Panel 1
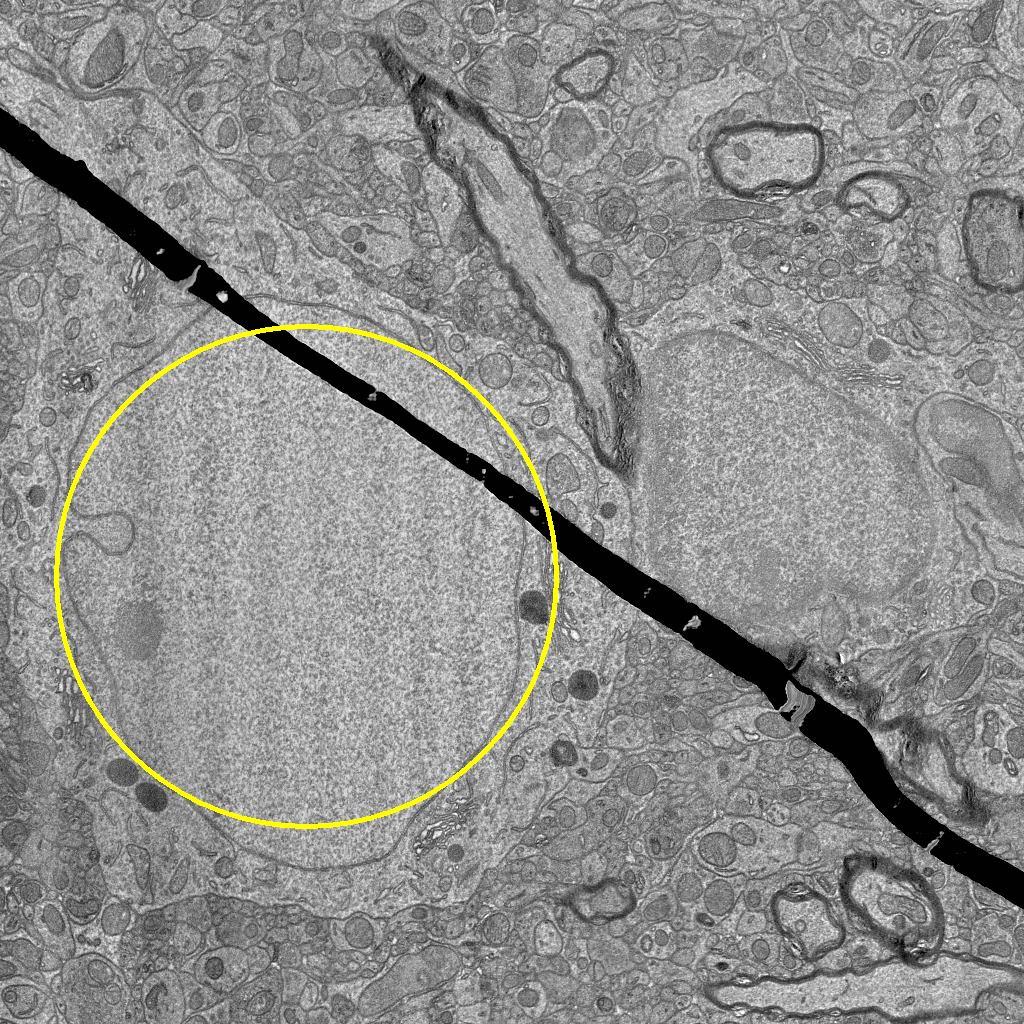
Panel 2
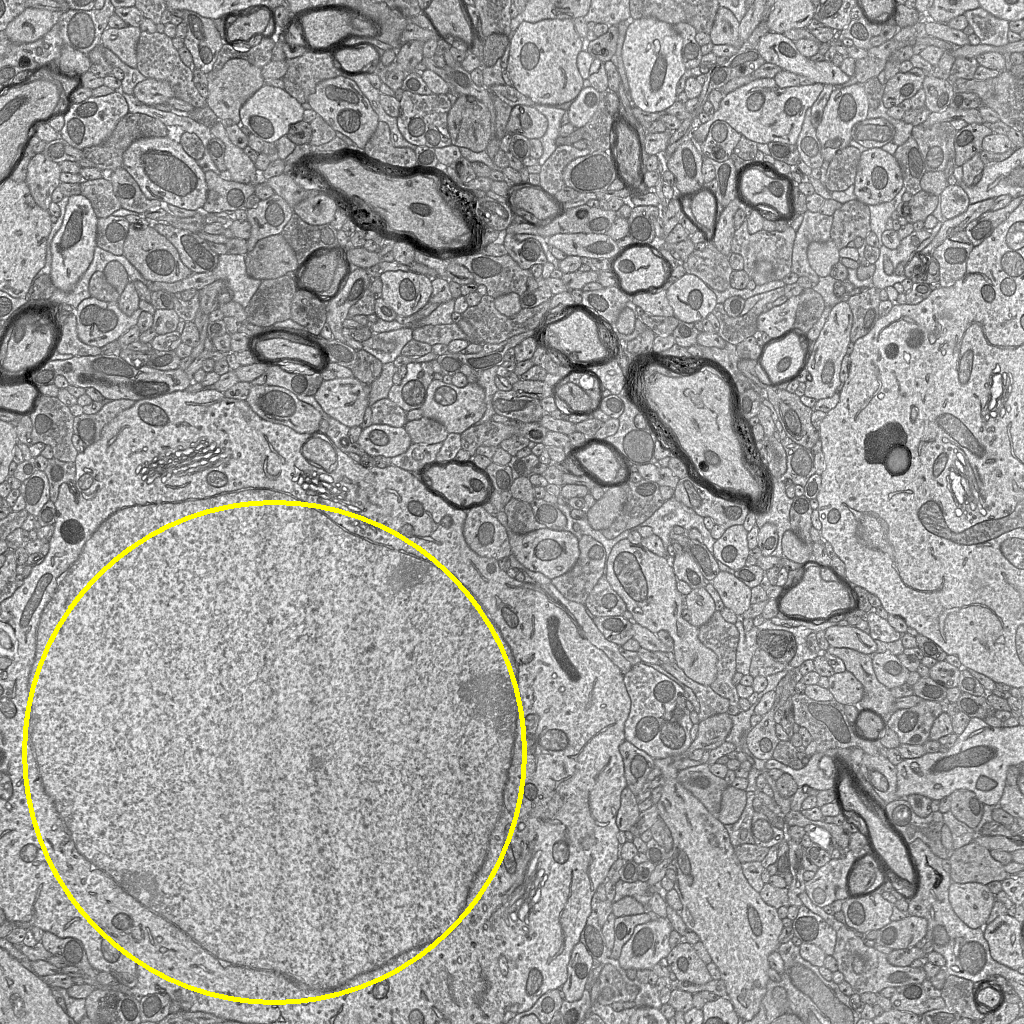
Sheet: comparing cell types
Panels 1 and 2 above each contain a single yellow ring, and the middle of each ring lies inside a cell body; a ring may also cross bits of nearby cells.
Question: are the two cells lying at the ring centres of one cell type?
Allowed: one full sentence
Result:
Yes, the cells at the ring centres in Panel 1 and Panel 2 are of one type.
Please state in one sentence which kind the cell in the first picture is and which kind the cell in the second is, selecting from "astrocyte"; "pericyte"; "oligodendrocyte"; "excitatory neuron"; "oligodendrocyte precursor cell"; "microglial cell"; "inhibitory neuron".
Each cell at the centre of a ring is an excitatory neuron.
